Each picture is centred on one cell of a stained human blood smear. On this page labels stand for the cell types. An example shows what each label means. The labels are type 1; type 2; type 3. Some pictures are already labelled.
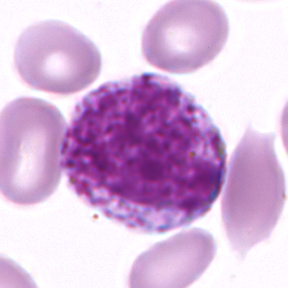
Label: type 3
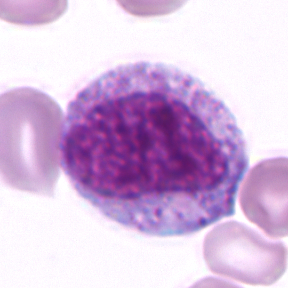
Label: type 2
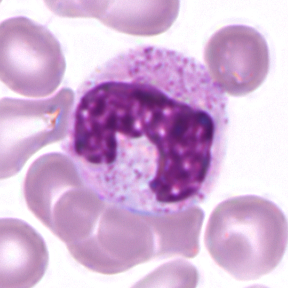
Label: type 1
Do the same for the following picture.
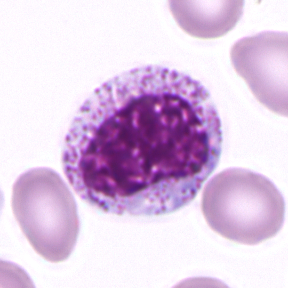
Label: type 3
